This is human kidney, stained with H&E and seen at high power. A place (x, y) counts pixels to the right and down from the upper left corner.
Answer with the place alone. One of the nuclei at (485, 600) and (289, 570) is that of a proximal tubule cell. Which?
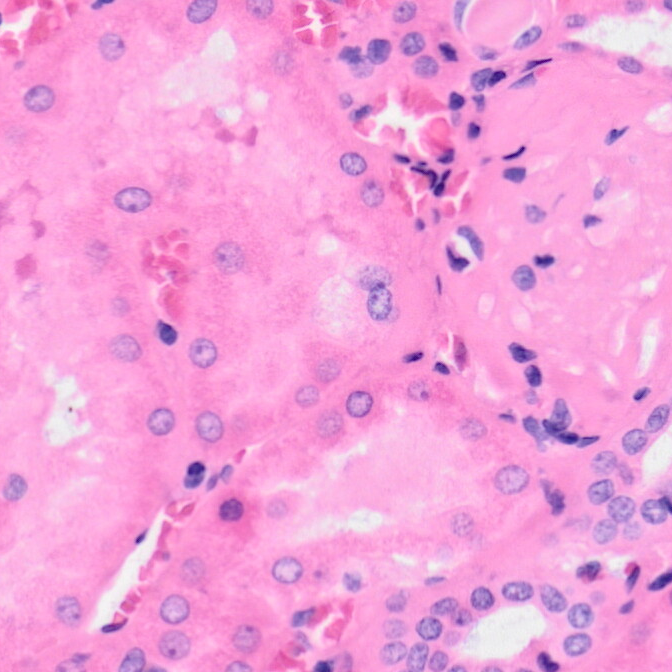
(289, 570)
